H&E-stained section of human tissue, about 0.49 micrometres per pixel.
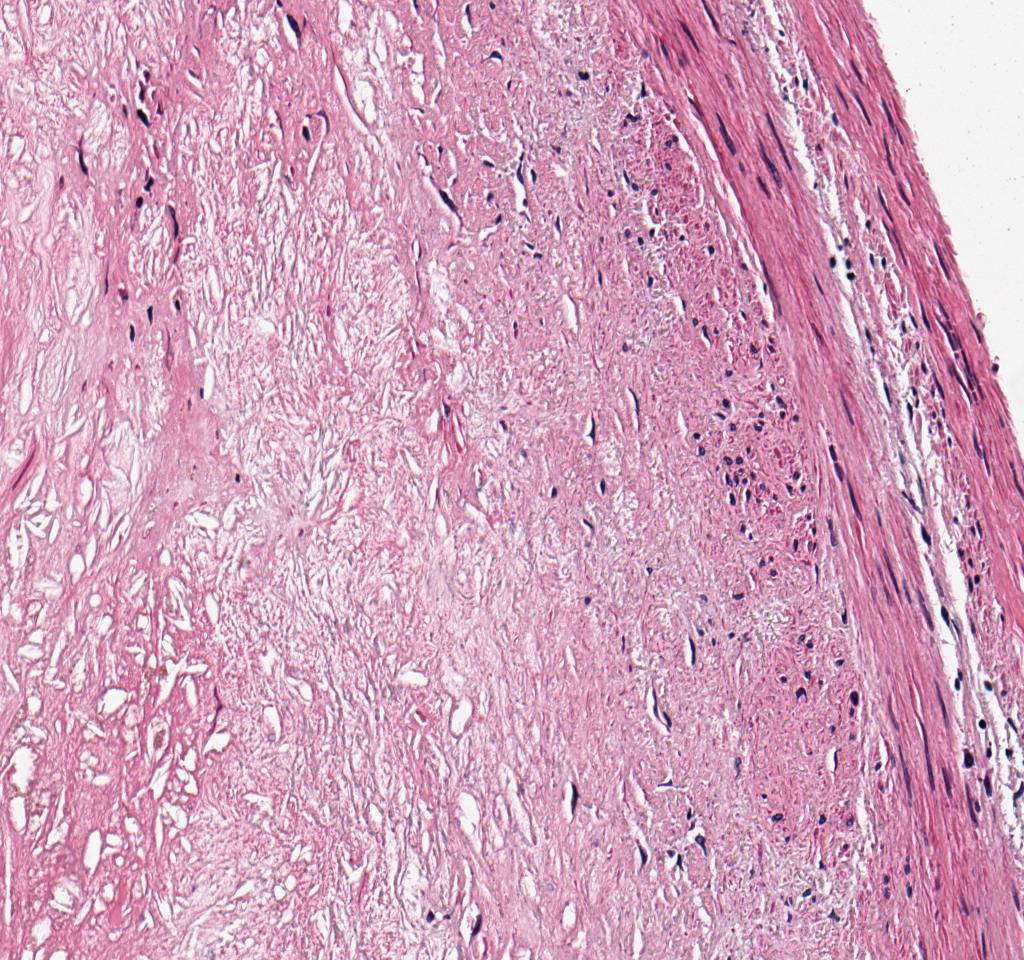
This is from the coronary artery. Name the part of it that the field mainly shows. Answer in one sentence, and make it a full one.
It is tunica intima that this tissue section depicts.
